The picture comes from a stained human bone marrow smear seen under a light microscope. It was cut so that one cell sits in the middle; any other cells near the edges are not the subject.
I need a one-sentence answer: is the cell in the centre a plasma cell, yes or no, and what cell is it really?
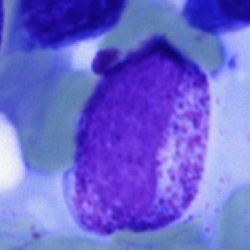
No, the central cell is reported as a myelocyte rather than as a plasma cell.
